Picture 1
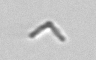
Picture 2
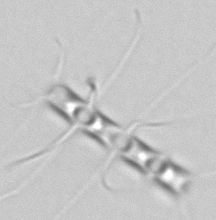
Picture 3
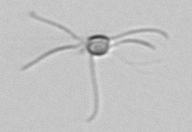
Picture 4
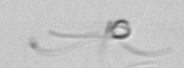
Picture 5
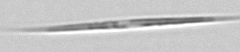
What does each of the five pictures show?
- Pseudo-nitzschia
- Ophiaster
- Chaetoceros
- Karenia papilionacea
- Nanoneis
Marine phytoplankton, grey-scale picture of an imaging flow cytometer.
1. Nanoneis
2. Chaetoceros
3. Ophiaster
4. Ophiaster
5. Pseudo-nitzschia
